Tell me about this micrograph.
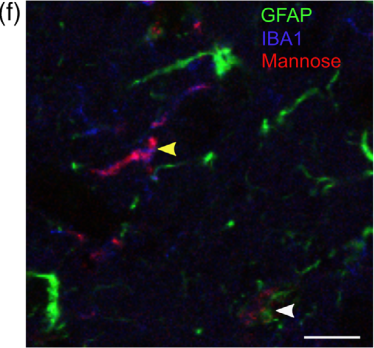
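Green branching processes of astrocytes are scattered through the field, thin and irregular. Smaller red specks lie below it, and at the lower right a small patch where red and green meet is marked by a white arrowhead. Blue stained cell profiles are sparse and slender. The dark background shows no nuclei, so cell shapes are read from the coloured outlines alone.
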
